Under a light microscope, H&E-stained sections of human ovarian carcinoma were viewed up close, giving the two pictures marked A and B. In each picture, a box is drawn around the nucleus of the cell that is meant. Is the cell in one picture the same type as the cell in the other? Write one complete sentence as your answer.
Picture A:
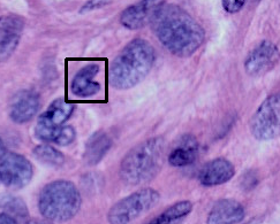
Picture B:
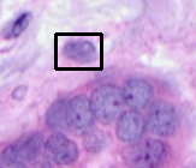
Yes, both are “macrophages or monocytes”.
